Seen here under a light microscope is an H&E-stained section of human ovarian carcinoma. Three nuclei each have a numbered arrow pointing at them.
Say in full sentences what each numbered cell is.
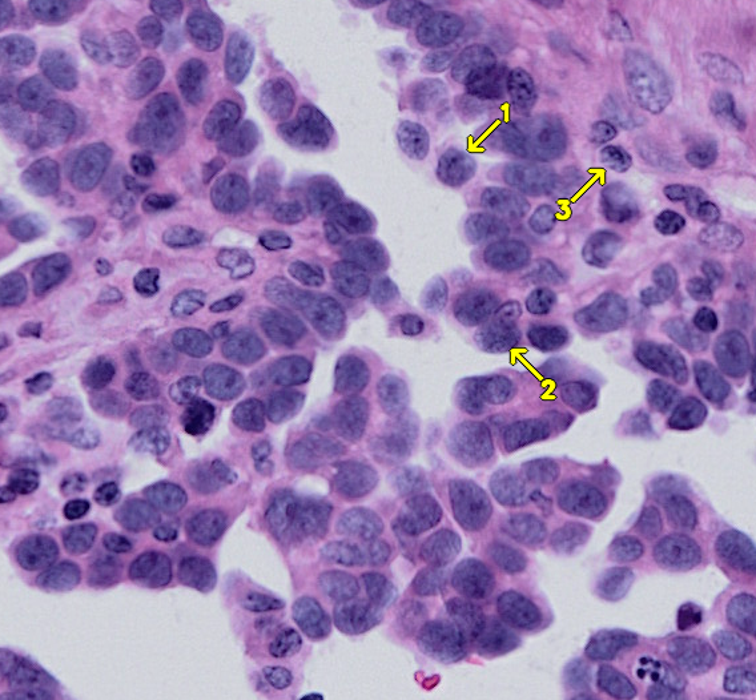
Cell 1 is a macrophage or monocyte. Cell 2 is a carcinoma cell. Cell 3 is a lymphocyte.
